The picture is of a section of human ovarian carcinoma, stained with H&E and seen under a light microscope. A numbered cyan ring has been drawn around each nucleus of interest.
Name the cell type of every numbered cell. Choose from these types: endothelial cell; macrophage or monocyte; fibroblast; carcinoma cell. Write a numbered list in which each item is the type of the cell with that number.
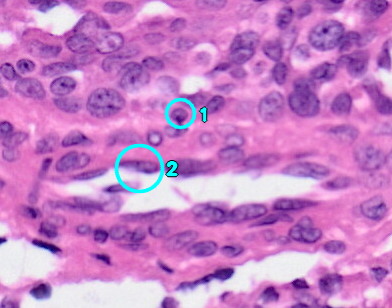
1. macrophage or monocyte
2. endothelial cell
